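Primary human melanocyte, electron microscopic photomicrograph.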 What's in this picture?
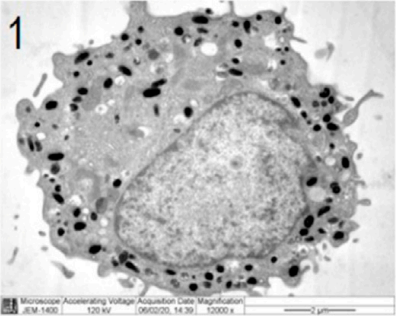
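The nucleus has finely granular chromatin and a smooth nuclear envelope. The cytoplasm contains many melanosomes, most of them small oval or elongated bodies that are uniformly black and electron-dense, with some paler or partly filled ones among them. The melanosomes are concentrated in the cytoplasm around the nucleus and towards the cell surface. Short, thin cytoplasmic projections extend from the cell margin.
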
